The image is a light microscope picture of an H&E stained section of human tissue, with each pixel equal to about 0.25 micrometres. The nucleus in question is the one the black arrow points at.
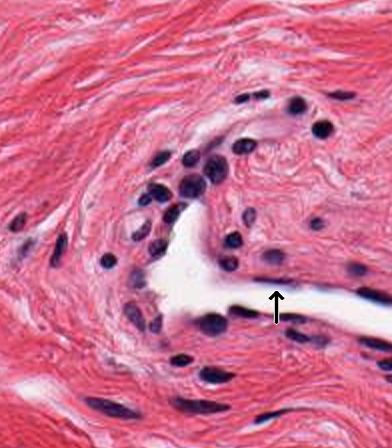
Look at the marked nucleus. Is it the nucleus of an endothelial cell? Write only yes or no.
yes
